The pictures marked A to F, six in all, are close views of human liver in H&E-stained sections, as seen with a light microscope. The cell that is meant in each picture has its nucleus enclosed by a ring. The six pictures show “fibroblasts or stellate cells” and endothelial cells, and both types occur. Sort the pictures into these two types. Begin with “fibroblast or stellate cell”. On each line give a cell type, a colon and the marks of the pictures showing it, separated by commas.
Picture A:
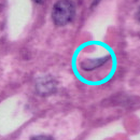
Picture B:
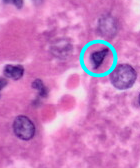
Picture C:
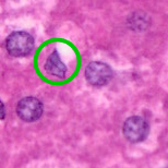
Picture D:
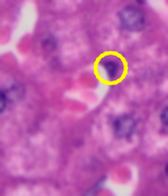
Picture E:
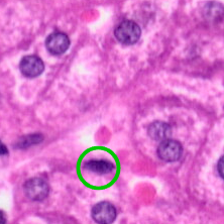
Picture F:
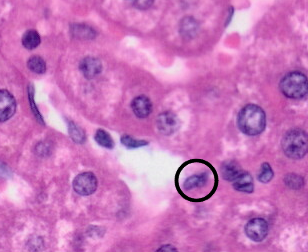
fibroblast or stellate cell: B, D, E, F
endothelial cell: A, C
